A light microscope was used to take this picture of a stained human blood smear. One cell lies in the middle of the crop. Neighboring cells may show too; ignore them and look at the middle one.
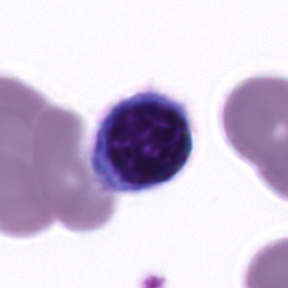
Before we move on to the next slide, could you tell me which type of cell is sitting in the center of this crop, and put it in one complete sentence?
Looking at the middle of the crop, the cell there is a plasma cell.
